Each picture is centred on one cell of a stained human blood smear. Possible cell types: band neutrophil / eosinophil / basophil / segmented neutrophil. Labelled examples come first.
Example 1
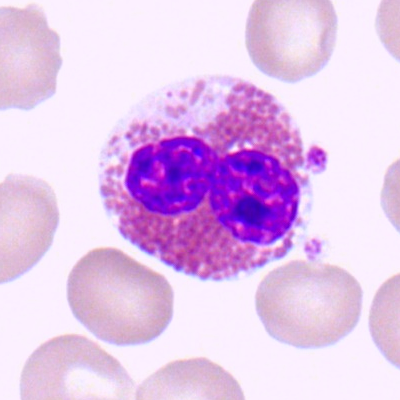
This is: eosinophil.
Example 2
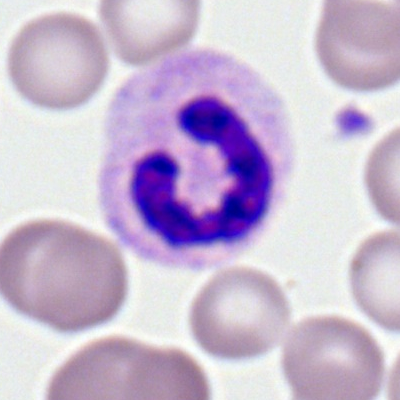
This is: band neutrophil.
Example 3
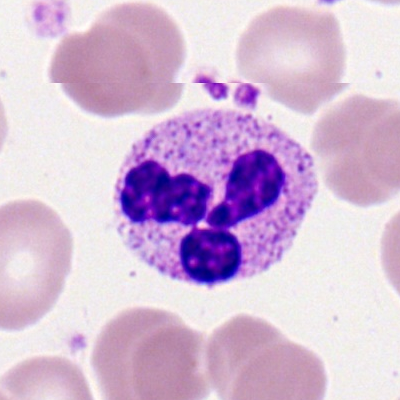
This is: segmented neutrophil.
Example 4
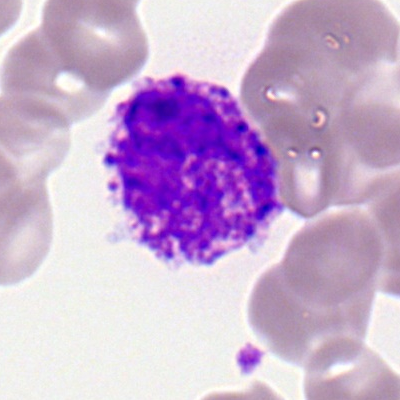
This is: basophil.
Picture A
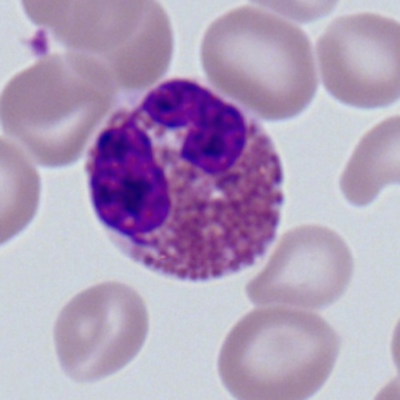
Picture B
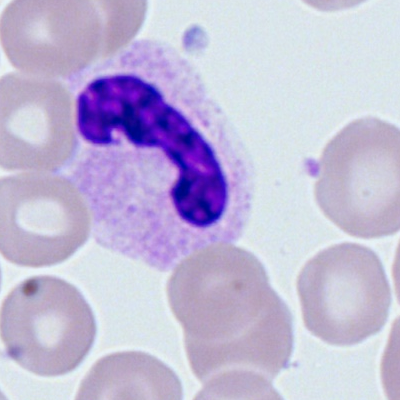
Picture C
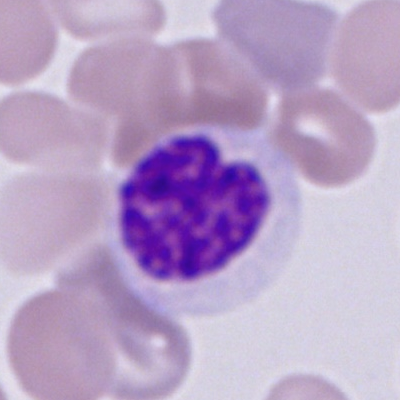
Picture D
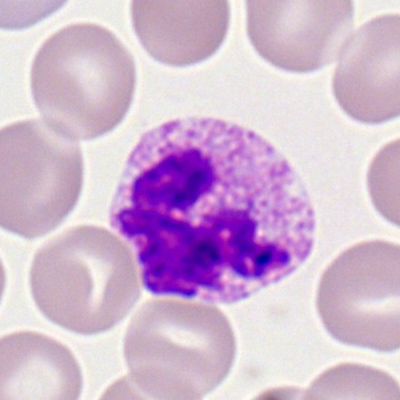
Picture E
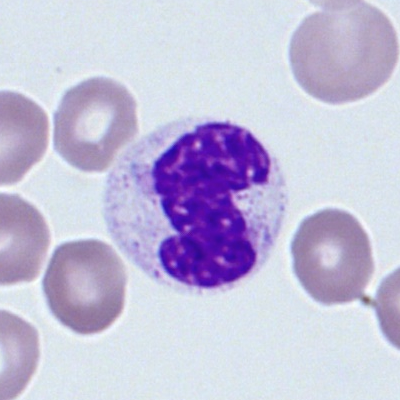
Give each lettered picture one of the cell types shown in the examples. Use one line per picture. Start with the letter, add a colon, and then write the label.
A: eosinophil.
B: band neutrophil.
C: band neutrophil.
D: basophil.
E: segmented neutrophil.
